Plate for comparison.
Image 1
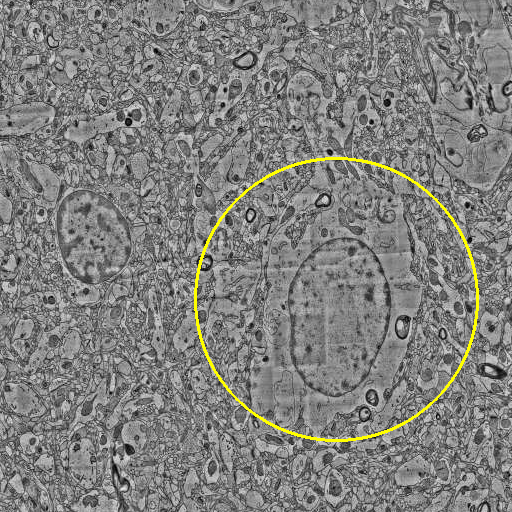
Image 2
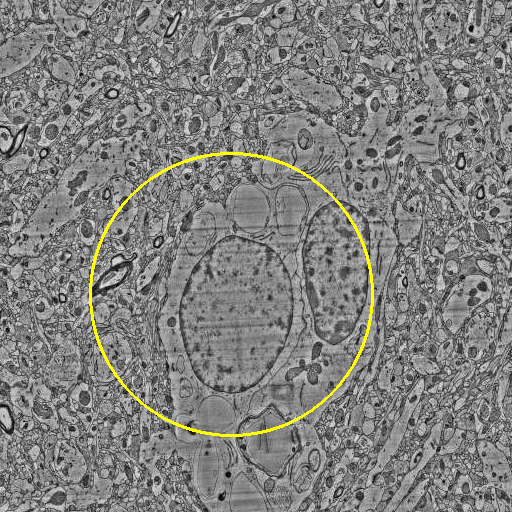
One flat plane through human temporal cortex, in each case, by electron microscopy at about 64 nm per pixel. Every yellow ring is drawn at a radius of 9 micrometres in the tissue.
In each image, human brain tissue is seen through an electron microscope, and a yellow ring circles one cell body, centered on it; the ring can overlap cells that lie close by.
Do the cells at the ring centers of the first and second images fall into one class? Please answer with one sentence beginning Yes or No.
Yes, the first and second images show a single class of cell at the ring centers.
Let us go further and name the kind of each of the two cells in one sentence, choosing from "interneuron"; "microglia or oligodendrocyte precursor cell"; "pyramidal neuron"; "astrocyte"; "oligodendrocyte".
Each of the ringed cells, first and second, is an astrocyte.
